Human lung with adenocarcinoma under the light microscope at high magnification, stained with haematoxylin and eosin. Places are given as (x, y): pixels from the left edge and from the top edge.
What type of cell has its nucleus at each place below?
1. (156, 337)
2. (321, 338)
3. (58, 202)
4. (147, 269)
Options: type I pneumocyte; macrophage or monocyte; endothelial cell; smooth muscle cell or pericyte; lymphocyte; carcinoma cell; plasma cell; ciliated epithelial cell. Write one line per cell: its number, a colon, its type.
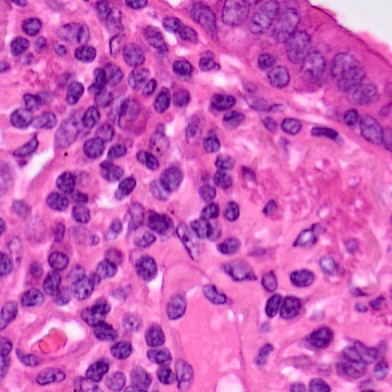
1: lymphocyte
2: plasma cell
3: lymphocyte
4: lymphocyte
